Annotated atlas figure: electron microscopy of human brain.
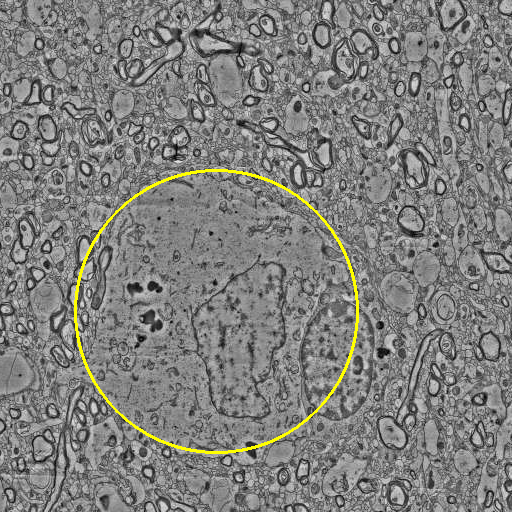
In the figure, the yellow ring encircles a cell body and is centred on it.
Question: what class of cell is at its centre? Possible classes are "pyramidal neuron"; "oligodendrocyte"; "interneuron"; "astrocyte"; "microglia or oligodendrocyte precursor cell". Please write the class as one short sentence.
The yellow ring is drawn around a pyramidal neuron.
